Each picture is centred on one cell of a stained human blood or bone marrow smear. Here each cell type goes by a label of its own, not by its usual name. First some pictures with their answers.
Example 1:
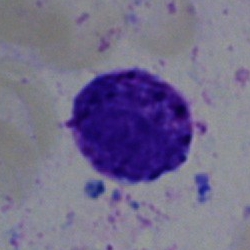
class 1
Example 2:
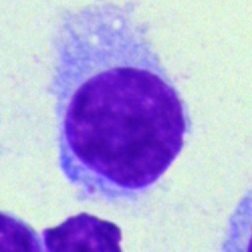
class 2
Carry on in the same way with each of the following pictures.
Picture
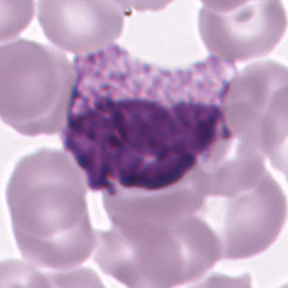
class 1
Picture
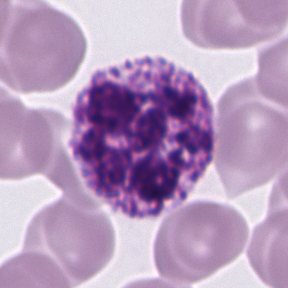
class 1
